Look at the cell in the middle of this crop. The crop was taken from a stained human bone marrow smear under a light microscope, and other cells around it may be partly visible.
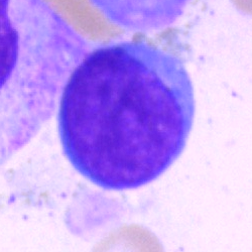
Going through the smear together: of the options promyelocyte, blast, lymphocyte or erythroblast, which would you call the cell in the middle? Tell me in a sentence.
Looking at the middle of the crop, the cell there is a blast.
